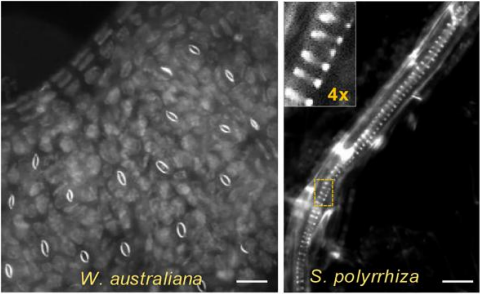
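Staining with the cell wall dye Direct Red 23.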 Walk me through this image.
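In the left image a plantlet surface shows a field of small rounded cells in grey, with scattered brighter oval outlines and no elongated strand running through it. In the right image a long narrow strand crosses the tissue diagonally.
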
